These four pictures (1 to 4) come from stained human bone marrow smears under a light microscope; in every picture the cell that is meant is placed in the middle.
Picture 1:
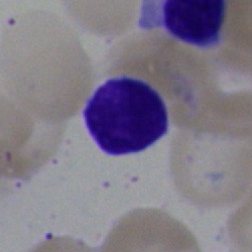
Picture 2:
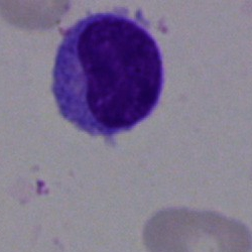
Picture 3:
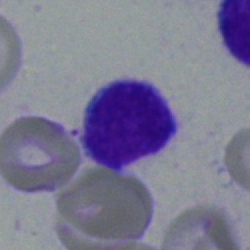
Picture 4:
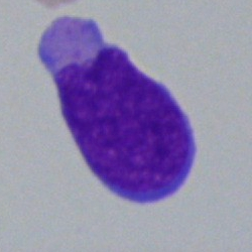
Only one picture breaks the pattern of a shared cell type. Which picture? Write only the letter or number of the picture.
4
